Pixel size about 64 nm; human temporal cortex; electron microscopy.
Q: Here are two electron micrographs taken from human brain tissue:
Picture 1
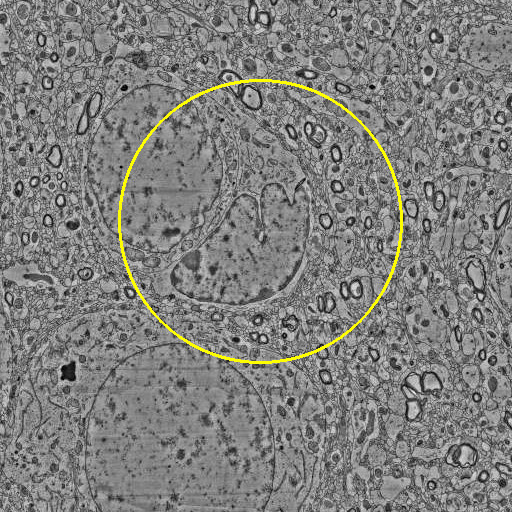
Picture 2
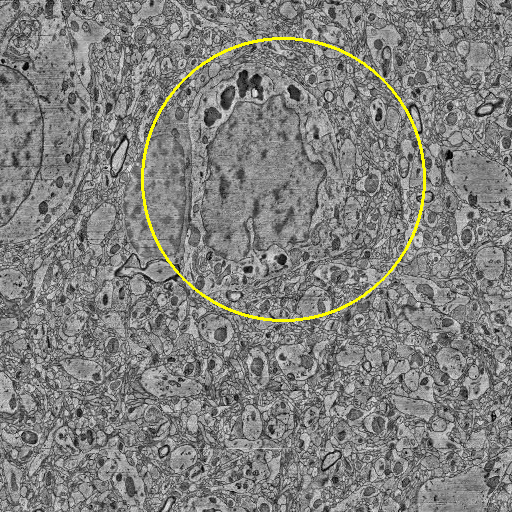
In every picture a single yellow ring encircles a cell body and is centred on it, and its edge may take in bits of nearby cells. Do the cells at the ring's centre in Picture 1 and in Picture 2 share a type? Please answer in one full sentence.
No, the cells at the ring's centre in Picture 1 and Picture 2 are of two types.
